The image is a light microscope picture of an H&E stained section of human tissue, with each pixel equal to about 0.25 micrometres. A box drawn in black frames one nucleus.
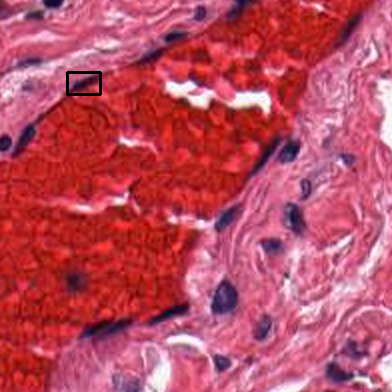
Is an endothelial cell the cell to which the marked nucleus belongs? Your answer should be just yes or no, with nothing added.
yes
